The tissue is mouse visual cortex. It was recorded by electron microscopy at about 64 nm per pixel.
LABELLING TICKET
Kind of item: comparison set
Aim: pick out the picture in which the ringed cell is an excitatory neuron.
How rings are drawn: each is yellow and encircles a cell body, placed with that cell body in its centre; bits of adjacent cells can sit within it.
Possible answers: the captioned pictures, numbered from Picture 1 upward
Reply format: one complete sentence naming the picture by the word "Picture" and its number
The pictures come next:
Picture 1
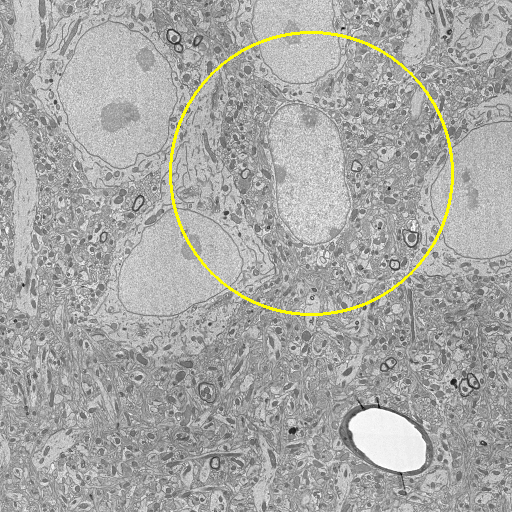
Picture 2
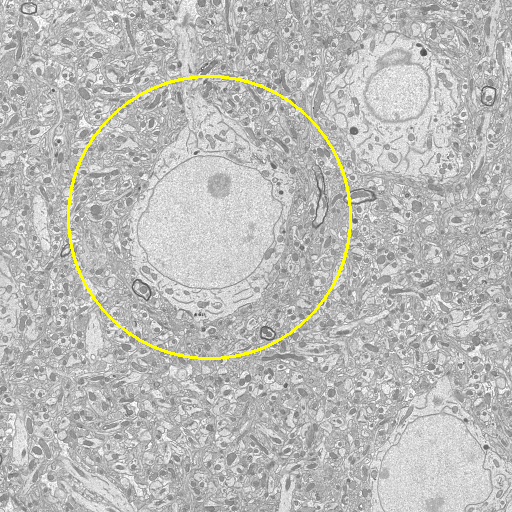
The cell centred inside the yellow ring in Picture 2 is the requested one.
